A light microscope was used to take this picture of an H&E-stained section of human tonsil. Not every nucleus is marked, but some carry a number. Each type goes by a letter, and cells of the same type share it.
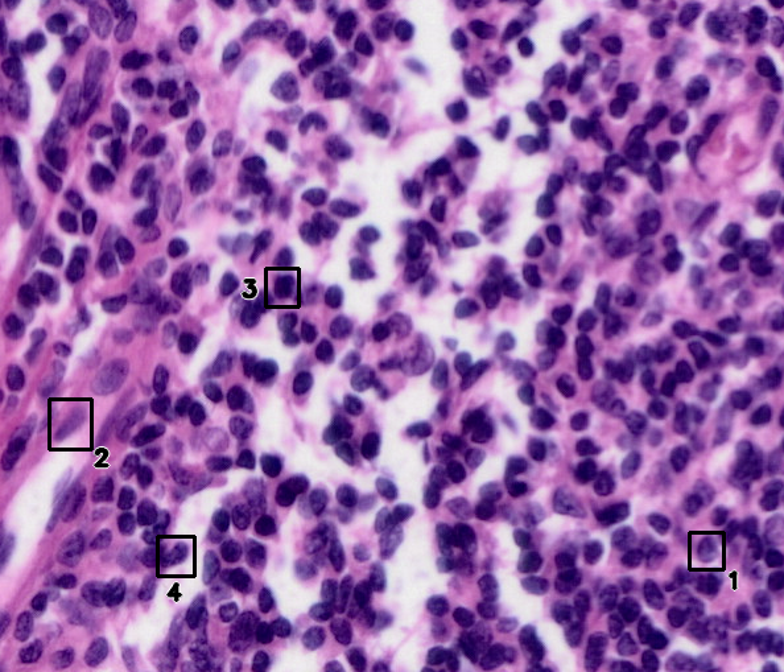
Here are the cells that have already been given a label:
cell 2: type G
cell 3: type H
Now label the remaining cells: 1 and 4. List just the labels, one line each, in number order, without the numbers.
type H
type H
